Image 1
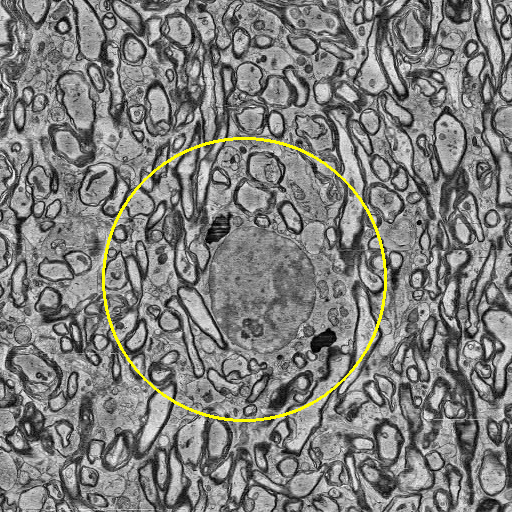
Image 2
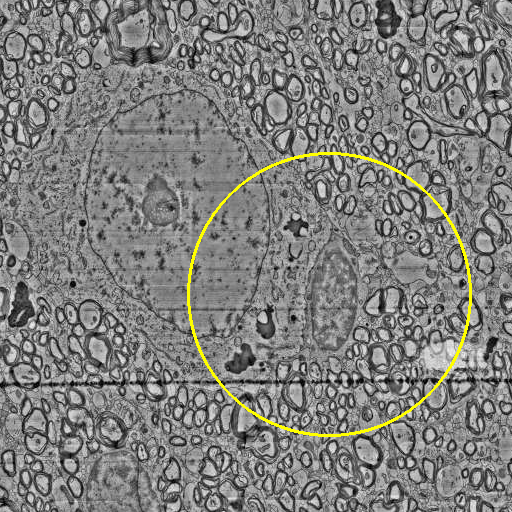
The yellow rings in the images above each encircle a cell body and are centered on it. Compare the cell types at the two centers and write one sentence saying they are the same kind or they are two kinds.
Taken together, the two cells at the ring centers are the same kind.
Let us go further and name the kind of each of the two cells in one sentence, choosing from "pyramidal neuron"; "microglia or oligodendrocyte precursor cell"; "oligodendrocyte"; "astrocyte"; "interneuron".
Each cell, in the first picture and the second, is an oligodendrocyte.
